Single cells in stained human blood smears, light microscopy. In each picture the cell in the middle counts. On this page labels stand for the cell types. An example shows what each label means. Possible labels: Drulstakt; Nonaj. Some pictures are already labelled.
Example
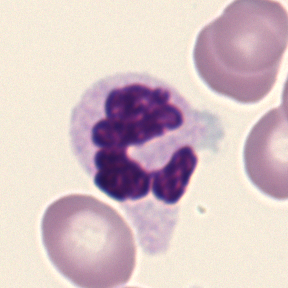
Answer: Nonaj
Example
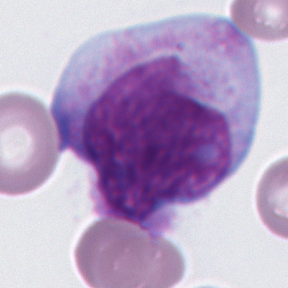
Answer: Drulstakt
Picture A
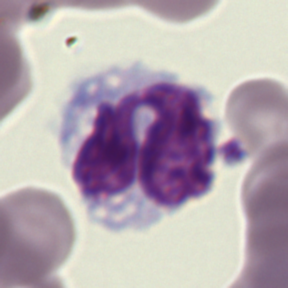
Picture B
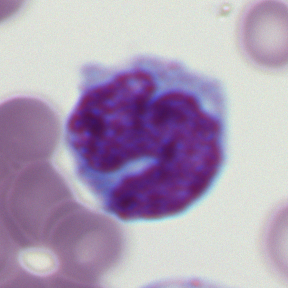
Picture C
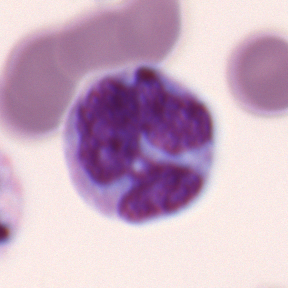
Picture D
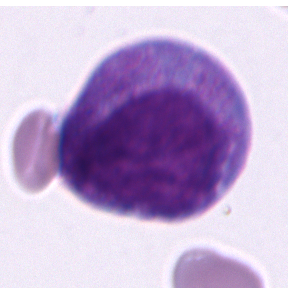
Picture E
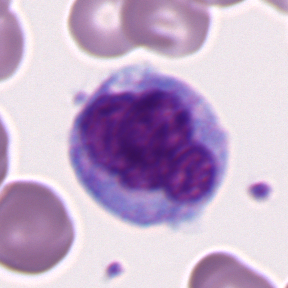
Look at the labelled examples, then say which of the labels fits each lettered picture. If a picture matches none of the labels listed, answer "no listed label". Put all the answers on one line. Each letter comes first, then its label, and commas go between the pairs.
A no listed label, B no listed label, C no listed label, D Drulstakt, E no listed label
